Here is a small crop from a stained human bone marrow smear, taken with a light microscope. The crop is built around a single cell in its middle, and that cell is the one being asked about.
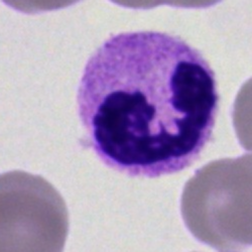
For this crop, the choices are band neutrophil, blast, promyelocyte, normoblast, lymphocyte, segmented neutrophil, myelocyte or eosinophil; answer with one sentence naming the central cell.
The cell at the middle of the crop is recognized as a segmented neutrophil.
